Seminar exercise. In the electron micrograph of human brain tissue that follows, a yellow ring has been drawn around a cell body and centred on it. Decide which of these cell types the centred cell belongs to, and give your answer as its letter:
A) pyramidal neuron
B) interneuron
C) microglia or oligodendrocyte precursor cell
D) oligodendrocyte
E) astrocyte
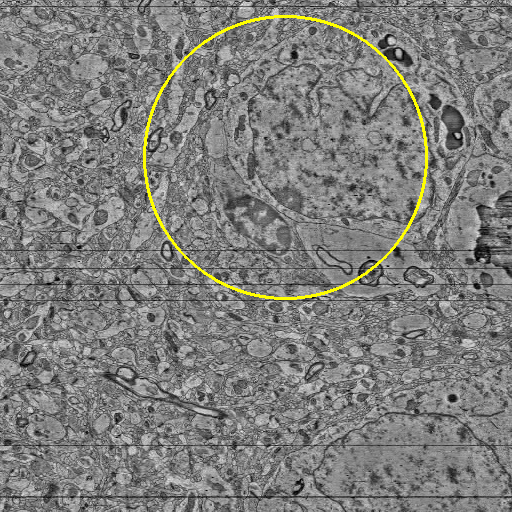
B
